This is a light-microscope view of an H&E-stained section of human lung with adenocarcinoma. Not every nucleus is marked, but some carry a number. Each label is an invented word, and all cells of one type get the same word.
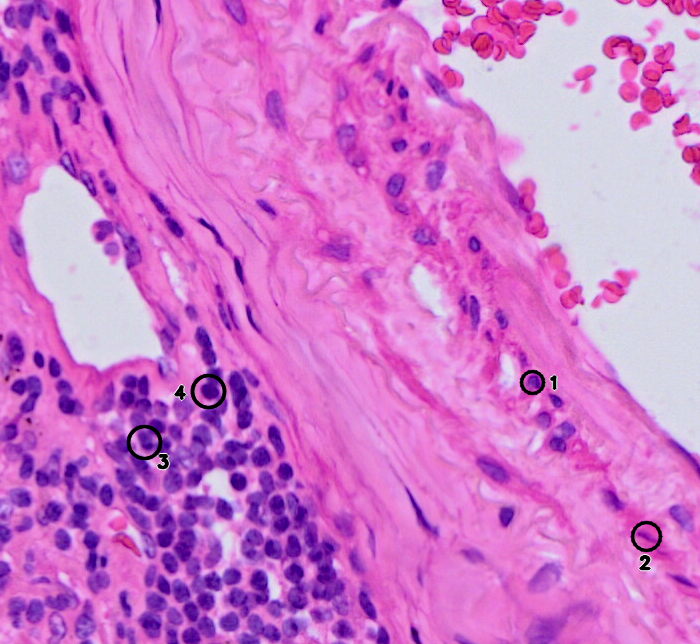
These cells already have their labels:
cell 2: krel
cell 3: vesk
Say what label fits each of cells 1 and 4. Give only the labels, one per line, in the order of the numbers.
krel
vesk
